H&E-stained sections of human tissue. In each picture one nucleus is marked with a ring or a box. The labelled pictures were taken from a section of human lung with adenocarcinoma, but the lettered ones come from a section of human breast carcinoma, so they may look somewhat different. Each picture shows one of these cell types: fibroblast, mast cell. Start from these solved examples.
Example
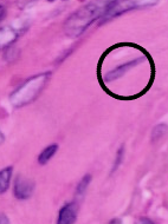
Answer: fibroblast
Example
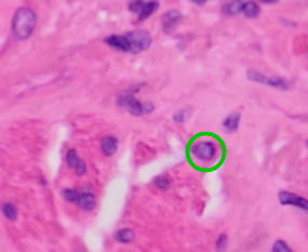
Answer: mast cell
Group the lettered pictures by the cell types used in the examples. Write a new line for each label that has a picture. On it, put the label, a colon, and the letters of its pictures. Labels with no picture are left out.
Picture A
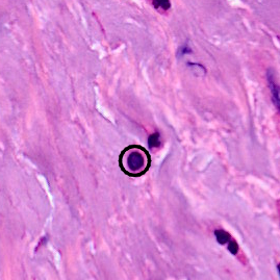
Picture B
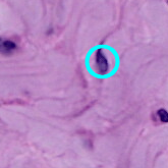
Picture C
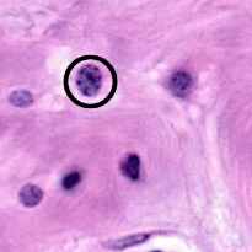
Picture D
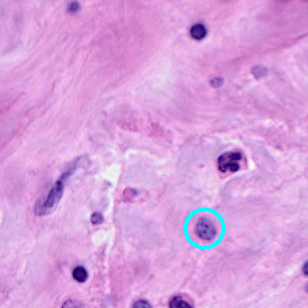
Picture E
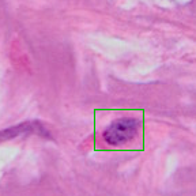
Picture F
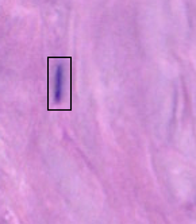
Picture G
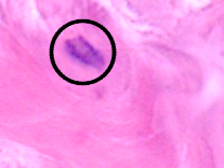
fibroblast: B, F, G
mast cell: A, C, D, E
